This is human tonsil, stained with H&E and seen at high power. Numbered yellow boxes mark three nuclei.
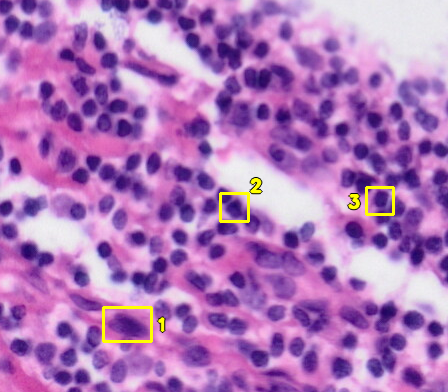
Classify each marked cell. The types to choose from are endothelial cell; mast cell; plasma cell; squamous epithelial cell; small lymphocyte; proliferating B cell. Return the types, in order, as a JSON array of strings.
["endothelial cell", "small lymphocyte", "small lymphocyte"]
